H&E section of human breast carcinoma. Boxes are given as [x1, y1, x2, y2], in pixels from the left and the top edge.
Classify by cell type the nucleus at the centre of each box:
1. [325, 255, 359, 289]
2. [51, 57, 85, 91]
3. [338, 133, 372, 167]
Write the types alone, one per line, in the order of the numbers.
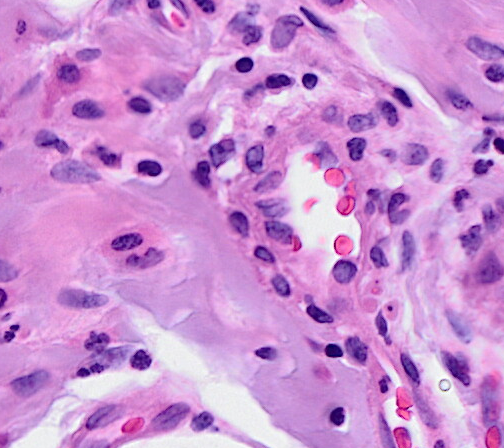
endothelial cell
mast cell
lymphocyte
